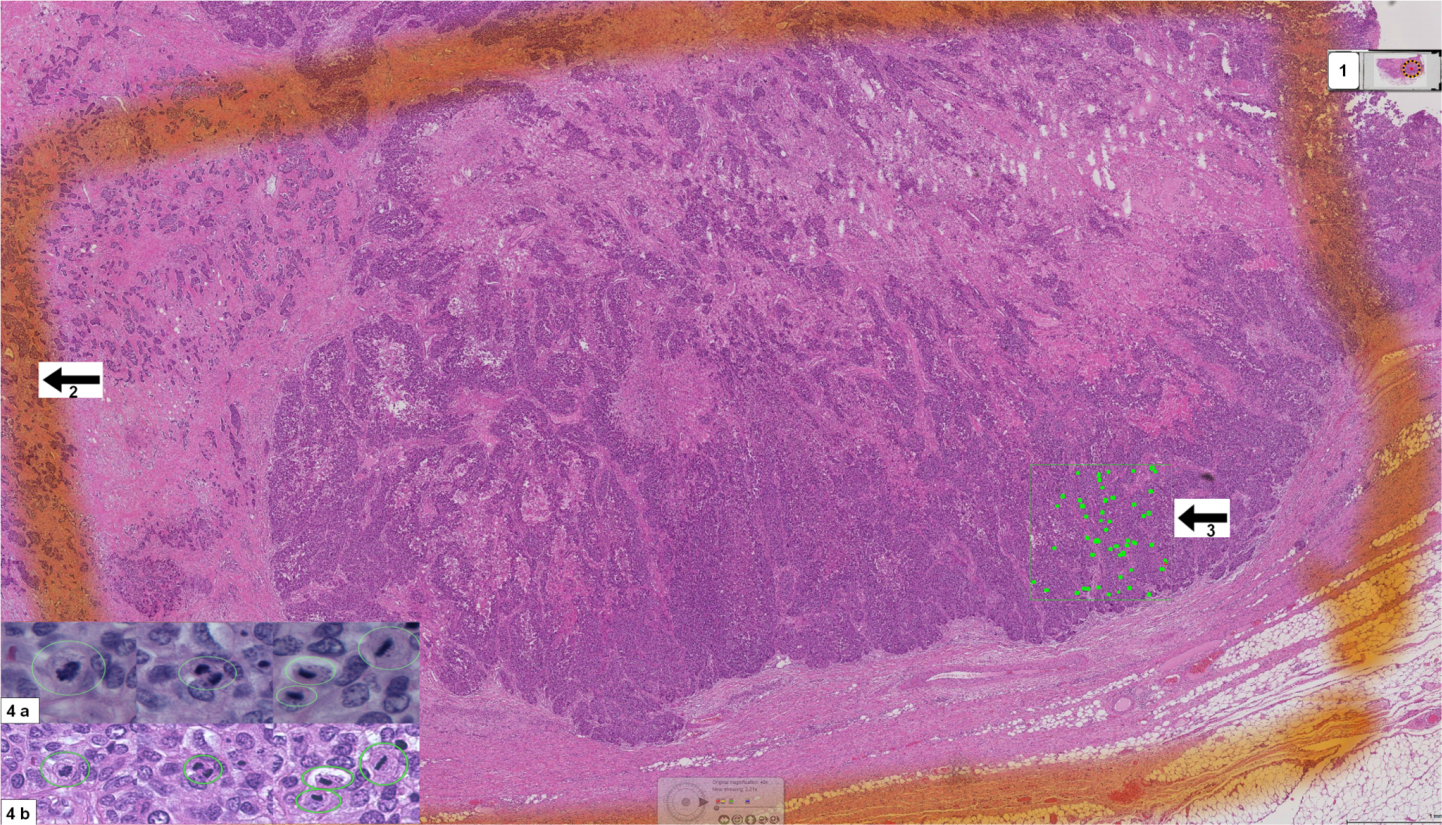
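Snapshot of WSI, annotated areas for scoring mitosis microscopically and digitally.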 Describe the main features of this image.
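A low-power pink and purple stained section shows a large, densely cellular purple mass made of sheets and nests of cells, separated by pink fibrous bands. At the upper left, small cords and nests of cells lie scattered in pink stroma. Along the lower right edge, bands of pink fibrous tissue border pale adipose tissue. Magnified insets at the lower left show mitotic figures as dark, condensed chromatin masses among paler oval nuclei.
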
